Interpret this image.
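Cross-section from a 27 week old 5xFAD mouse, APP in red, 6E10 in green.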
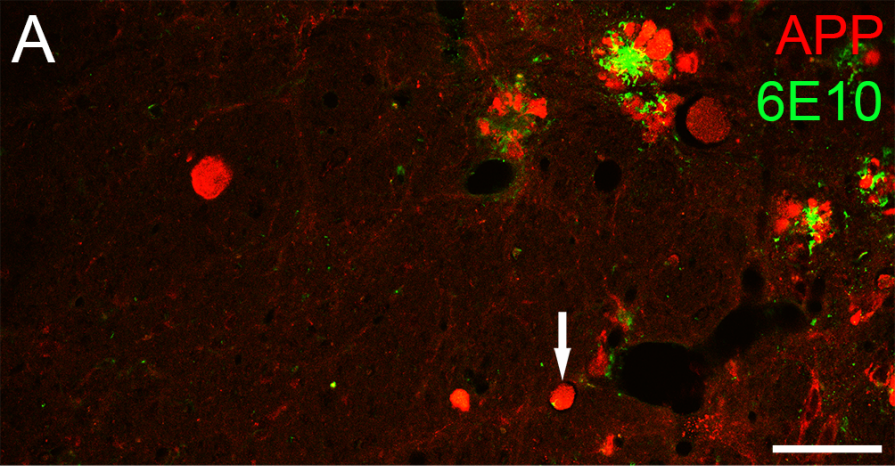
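This low-magnification fluorescence view of brain tissue shows many axonal spheroids as scattered round or oval compact red bodies of differing size in a dark background. In the upper right, larger clusters of red rounded swellings surround central green deposits. Dark empty spaces resembling vessel profiles lie among them. Thin faint red fibres and small green specks are scattered through the tissue, and a few green threads lie close to red swellings.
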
